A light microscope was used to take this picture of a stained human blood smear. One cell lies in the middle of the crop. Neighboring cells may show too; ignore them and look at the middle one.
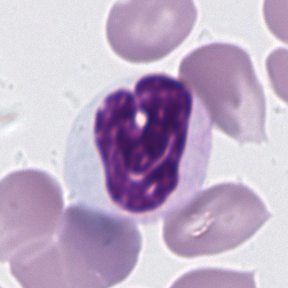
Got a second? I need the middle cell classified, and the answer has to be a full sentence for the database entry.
The central element of this crop is a cell, namely a band neutrophil.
